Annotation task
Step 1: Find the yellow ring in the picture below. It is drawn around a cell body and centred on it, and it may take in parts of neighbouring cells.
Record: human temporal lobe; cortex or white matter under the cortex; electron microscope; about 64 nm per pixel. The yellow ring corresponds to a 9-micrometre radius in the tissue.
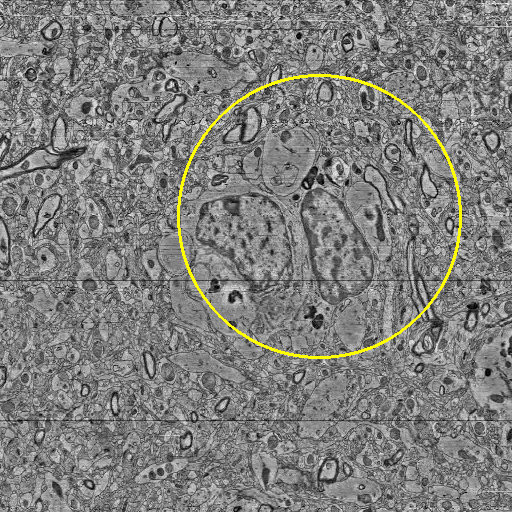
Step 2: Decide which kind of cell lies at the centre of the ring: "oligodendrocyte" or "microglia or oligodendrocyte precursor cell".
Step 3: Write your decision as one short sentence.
The kind of cell at the ring's centre is a microglial cell or oligodendrocyte precursor cell.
